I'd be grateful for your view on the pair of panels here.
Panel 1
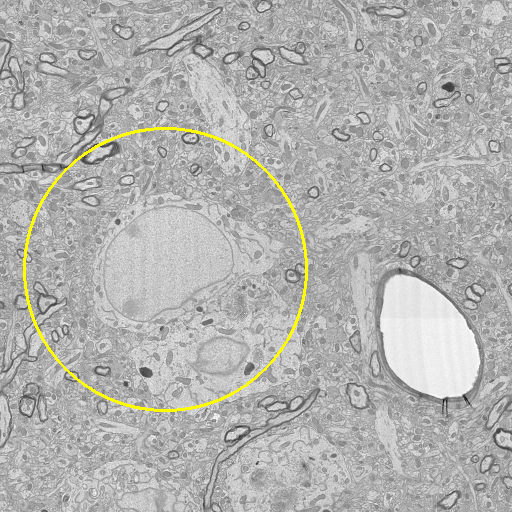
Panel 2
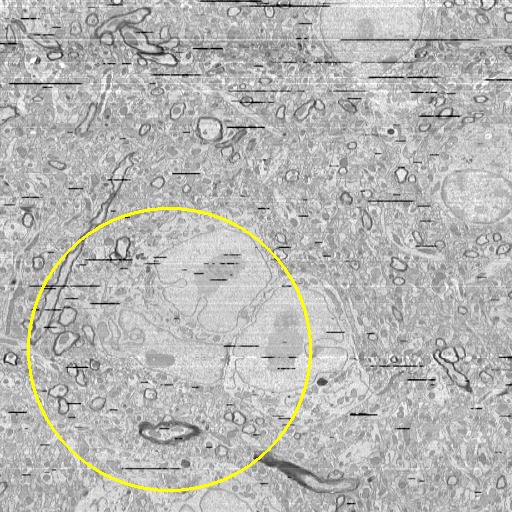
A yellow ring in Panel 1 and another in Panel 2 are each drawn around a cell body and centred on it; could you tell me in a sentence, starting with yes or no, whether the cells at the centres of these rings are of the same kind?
No, they are two kinds of cell.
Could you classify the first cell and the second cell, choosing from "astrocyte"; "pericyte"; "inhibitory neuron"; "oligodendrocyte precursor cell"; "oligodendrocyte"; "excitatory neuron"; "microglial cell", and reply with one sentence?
The second cell is an oligodendrocyte precursor cell, while the first is an excitatory neuron.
